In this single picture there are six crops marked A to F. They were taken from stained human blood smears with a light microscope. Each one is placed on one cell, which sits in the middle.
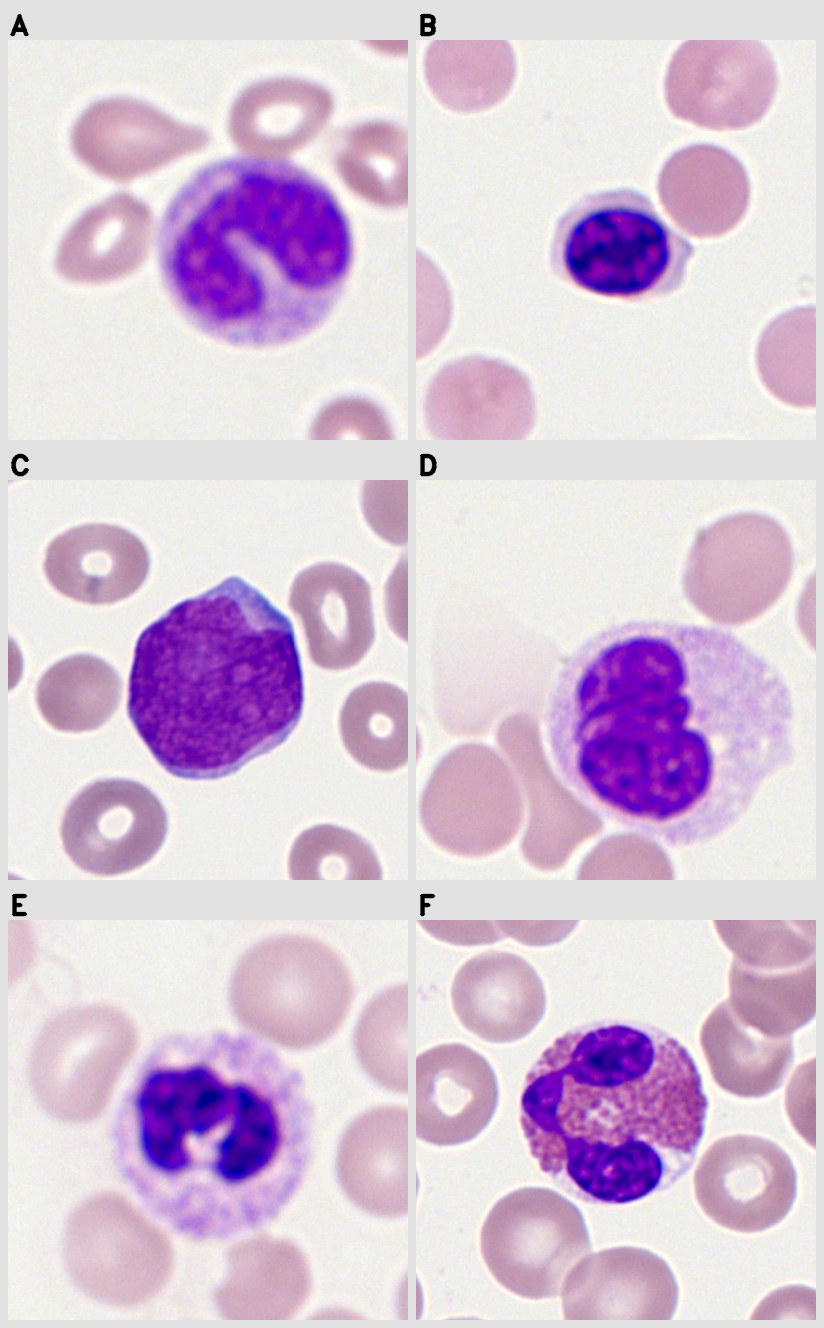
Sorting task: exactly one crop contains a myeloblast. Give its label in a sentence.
The crop that has a myeloblast in the middle is crop C.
